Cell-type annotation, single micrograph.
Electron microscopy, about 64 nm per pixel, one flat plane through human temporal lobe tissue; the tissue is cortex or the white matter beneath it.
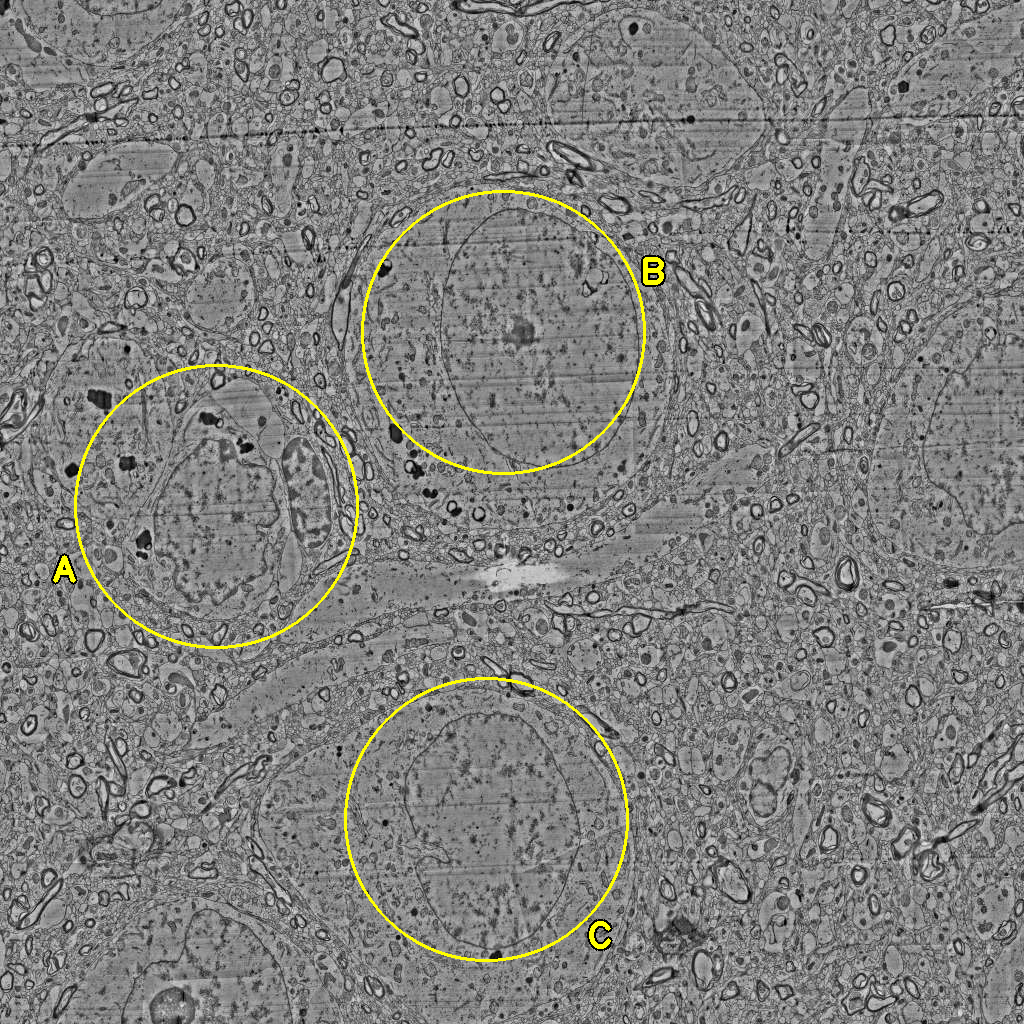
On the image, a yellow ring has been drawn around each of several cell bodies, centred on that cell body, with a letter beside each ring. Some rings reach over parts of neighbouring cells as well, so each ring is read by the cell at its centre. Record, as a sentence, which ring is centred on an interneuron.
Ring A is centred on it.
